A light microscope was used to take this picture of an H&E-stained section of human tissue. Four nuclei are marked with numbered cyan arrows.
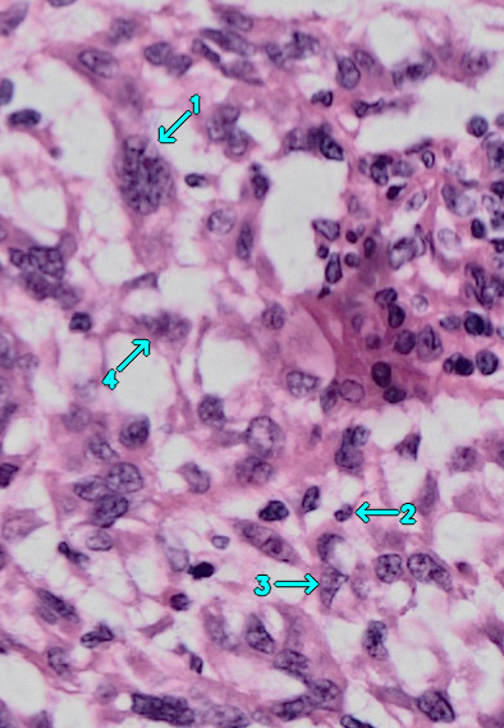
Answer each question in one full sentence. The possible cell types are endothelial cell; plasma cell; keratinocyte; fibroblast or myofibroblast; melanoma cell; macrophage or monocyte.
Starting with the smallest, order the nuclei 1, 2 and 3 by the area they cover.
The order from the smallest nucleus to the largest is 2, 3, 1.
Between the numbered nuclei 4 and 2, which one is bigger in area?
Number 4 is larger; its area is about 3 times that of number 2.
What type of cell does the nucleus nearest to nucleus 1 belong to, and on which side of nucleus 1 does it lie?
The closest nucleus belongs to a melanoma cell and sits below nucleus 1.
